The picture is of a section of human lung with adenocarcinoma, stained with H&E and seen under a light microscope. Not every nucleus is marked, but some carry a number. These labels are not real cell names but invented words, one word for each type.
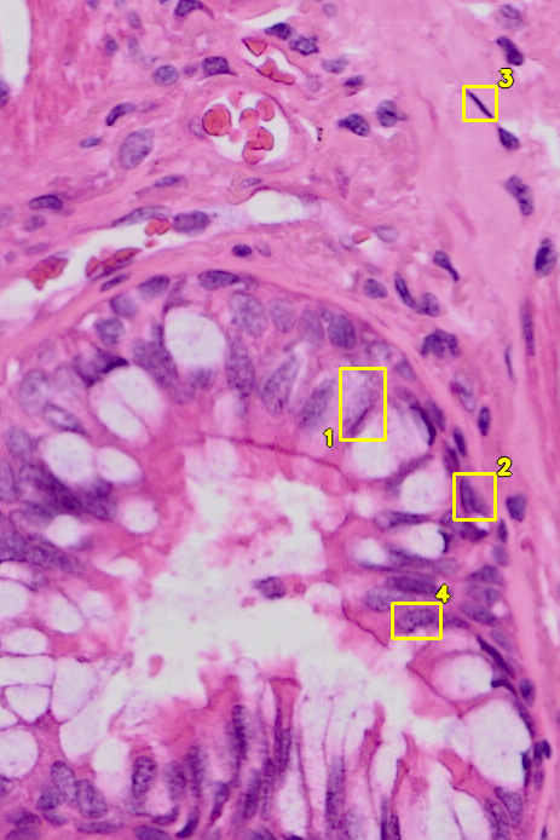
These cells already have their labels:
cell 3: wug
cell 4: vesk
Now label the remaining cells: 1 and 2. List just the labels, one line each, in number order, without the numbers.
vesk
vesk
